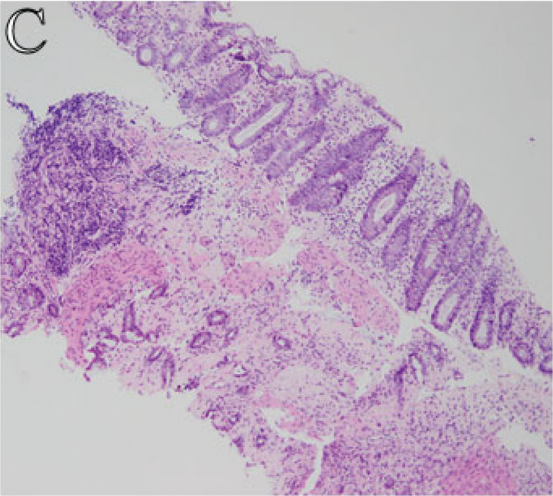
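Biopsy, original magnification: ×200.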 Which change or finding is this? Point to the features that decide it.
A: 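A dense cluster of small, dark purple round nuclei lies in the stroma at the left. Small dark nuclei are scattered between the glands in the stroma. On this evidence: inflammatory cell infiltration in the lamina propria.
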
